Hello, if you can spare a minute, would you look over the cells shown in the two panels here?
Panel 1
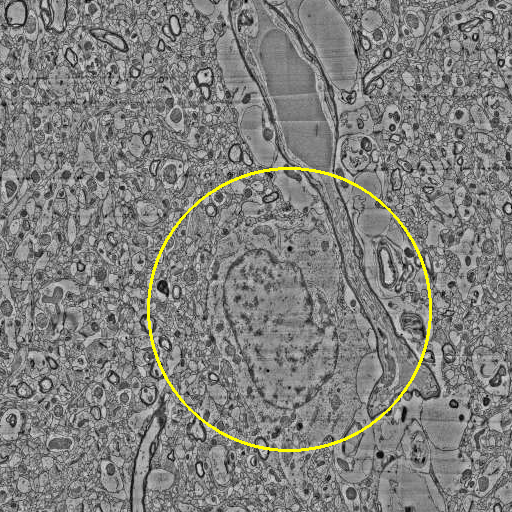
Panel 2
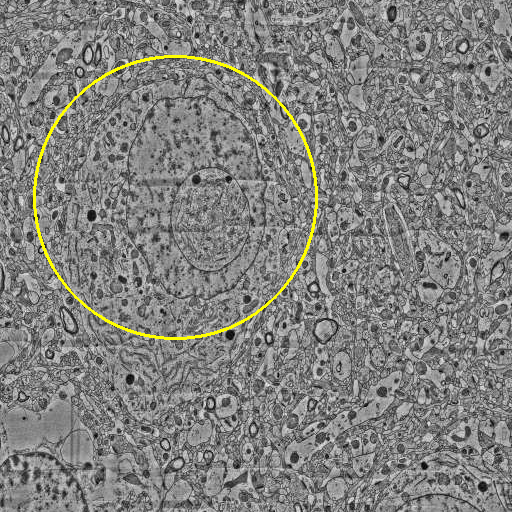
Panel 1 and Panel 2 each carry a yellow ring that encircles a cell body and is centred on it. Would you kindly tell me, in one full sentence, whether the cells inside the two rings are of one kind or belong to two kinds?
The cells at the centres of the rings in Panel 1 and Panel 2 are of one kind.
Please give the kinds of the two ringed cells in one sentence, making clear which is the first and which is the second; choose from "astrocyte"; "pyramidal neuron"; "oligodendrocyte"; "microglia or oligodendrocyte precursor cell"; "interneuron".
The ring centre holds an interneuron in each of the two pictures.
